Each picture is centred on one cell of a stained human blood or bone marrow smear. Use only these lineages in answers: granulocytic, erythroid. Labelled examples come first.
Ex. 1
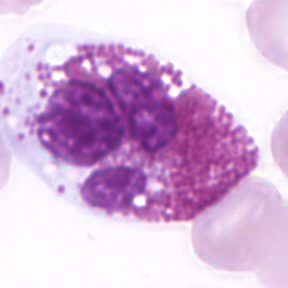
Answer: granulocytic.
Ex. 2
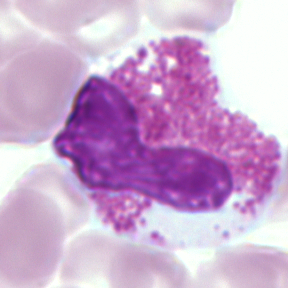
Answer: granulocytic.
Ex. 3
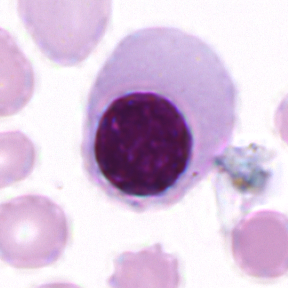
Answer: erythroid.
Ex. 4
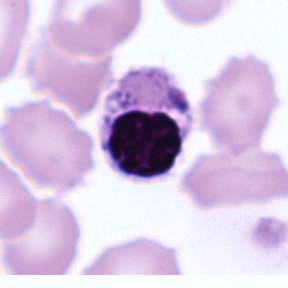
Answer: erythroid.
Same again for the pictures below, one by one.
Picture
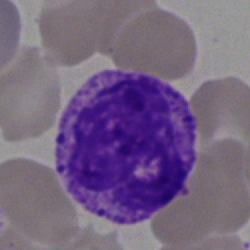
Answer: granulocytic.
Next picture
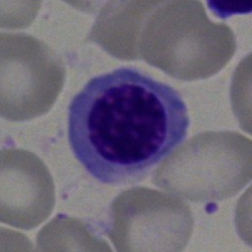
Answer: erythroid.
